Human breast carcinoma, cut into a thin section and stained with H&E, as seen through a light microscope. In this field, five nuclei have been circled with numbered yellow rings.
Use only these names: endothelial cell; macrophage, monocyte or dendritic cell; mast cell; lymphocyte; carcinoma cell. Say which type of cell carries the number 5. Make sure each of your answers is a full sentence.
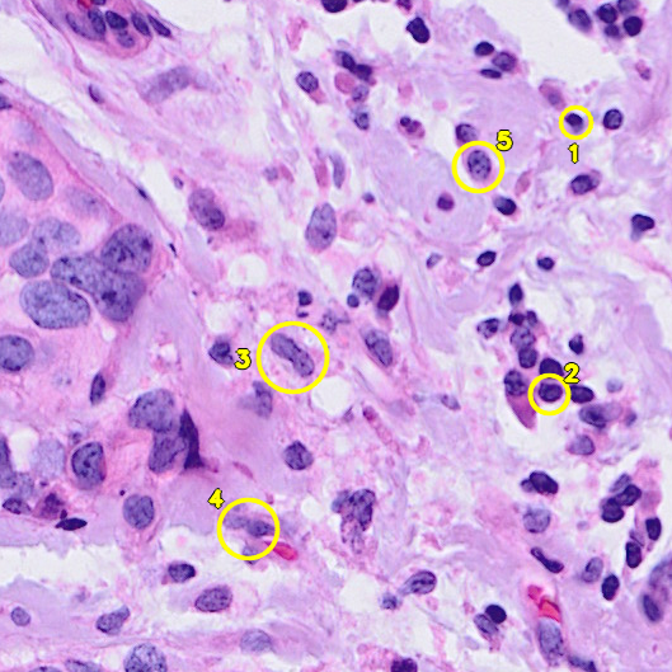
Among the marked cells, number 5 is a mast cell.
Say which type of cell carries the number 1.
Cell 1 is classified as a lymphocyte.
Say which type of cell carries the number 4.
Cell 4 in the field is an endothelial cell.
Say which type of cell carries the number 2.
Numbered cell 2 is a lymphocyte in this tissue section.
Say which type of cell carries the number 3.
Identified by the number 3, the cell is a macrophage, monocyte or dendritic cell.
